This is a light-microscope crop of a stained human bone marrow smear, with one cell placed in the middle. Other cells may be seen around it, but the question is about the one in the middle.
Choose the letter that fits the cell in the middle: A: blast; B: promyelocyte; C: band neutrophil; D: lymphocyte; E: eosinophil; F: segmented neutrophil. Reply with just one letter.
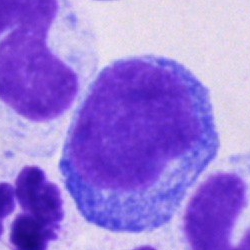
A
